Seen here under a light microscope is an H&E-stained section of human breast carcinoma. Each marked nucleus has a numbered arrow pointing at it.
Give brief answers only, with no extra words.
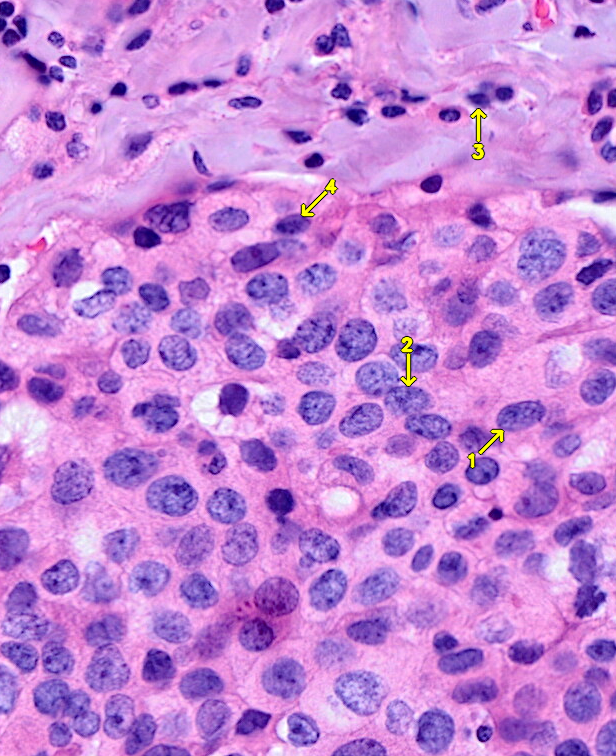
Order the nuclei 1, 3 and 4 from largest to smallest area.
1, 4, 3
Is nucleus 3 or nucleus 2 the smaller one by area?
3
